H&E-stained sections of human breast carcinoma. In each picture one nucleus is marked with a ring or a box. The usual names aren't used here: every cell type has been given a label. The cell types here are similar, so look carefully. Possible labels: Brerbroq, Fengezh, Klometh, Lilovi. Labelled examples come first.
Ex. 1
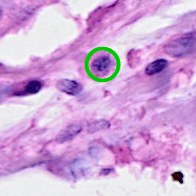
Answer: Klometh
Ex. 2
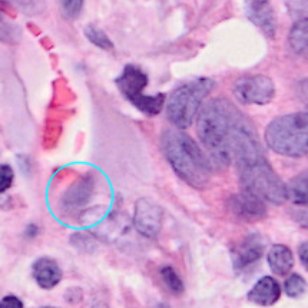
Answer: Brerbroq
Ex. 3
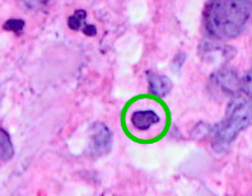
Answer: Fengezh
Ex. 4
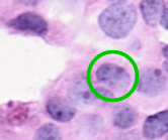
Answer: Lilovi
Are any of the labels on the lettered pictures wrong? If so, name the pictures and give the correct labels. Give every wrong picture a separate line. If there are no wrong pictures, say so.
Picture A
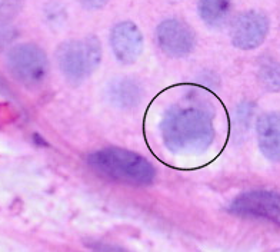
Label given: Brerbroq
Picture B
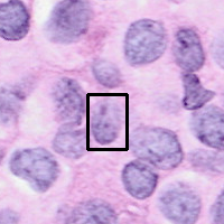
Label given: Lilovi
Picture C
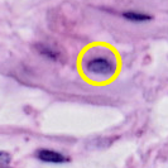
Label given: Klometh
A: not Brerbroq but Lilovi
